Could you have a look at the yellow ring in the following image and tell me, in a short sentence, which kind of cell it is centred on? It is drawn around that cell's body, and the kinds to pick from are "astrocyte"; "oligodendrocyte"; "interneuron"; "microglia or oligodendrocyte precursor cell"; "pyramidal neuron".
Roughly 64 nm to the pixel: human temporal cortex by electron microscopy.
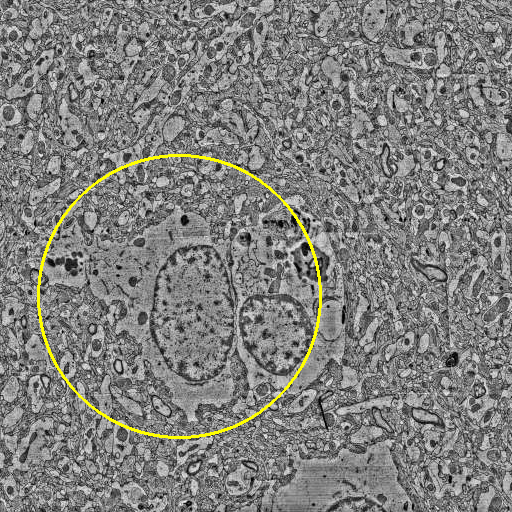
The ring is centred on the body of an astrocyte.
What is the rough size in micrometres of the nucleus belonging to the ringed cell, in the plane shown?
The nucleus of the ringed cell is clearly longer than it is wide in this plane, about 9 by 5 micrometres.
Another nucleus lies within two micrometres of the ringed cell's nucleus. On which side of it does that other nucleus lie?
The other one lies to the right of it.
